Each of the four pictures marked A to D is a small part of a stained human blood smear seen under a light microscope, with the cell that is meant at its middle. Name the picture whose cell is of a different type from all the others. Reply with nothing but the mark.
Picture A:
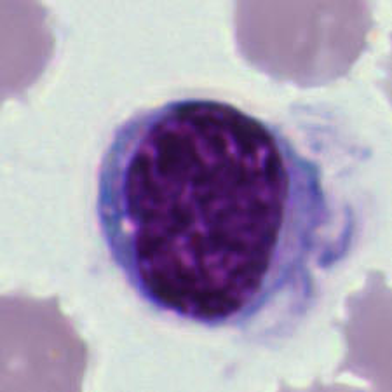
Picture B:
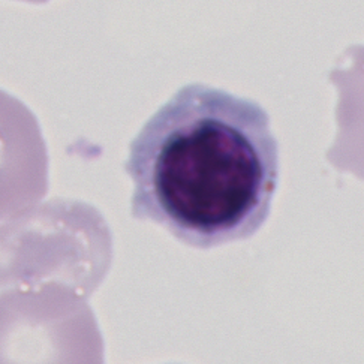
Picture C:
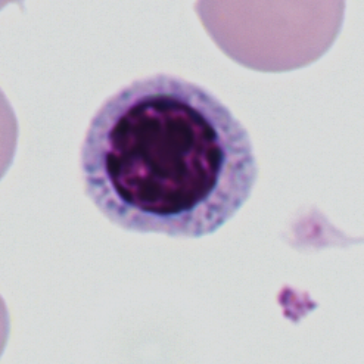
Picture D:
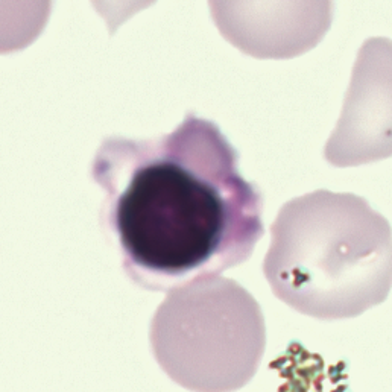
A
